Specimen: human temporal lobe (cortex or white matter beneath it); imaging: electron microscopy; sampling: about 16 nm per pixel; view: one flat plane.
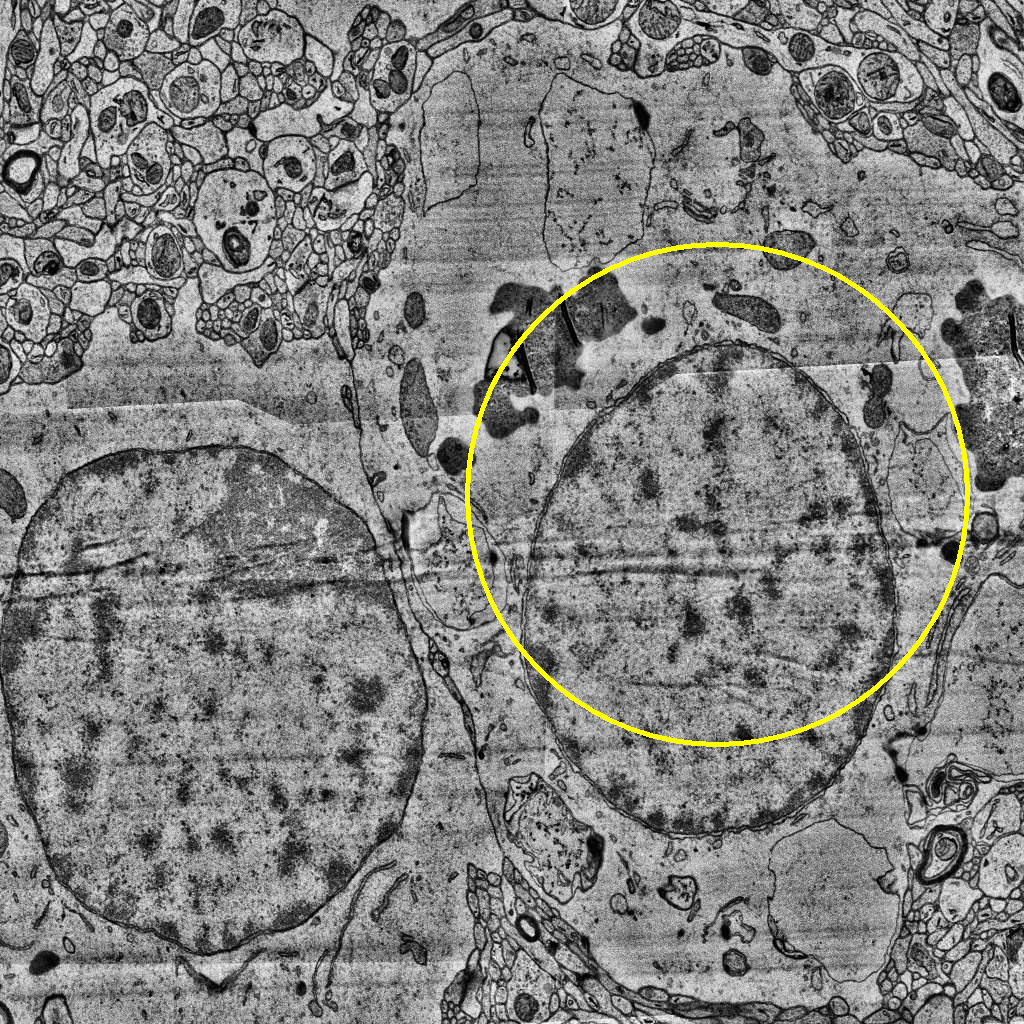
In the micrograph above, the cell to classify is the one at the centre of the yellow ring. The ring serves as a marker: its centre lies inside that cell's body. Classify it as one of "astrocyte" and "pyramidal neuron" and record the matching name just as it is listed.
astrocyte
